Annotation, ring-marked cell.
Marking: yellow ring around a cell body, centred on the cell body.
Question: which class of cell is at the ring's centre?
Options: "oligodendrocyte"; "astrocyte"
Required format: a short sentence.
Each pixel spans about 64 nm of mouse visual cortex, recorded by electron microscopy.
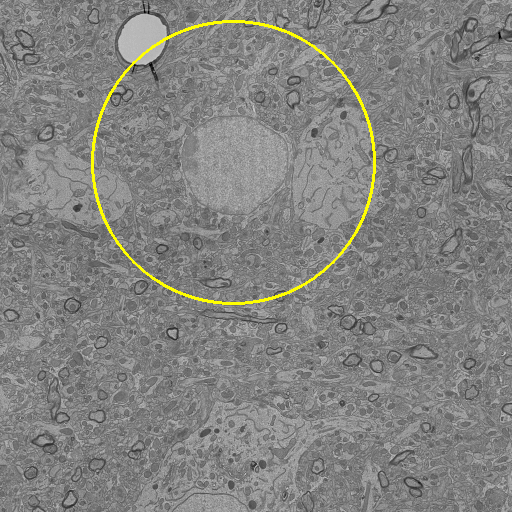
At the ring's centre is an astrocyte.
